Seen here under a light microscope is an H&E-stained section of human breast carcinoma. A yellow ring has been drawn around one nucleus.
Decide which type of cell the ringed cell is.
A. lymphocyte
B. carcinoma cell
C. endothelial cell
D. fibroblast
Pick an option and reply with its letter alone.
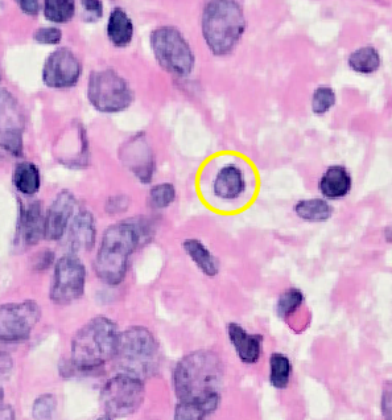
A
